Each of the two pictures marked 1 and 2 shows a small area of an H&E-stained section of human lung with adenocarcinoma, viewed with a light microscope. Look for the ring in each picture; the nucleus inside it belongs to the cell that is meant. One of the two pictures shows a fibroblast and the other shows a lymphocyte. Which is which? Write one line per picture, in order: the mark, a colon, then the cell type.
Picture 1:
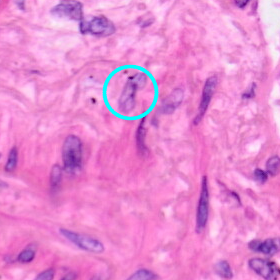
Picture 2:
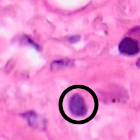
1: fibroblast
2: lymphocyte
